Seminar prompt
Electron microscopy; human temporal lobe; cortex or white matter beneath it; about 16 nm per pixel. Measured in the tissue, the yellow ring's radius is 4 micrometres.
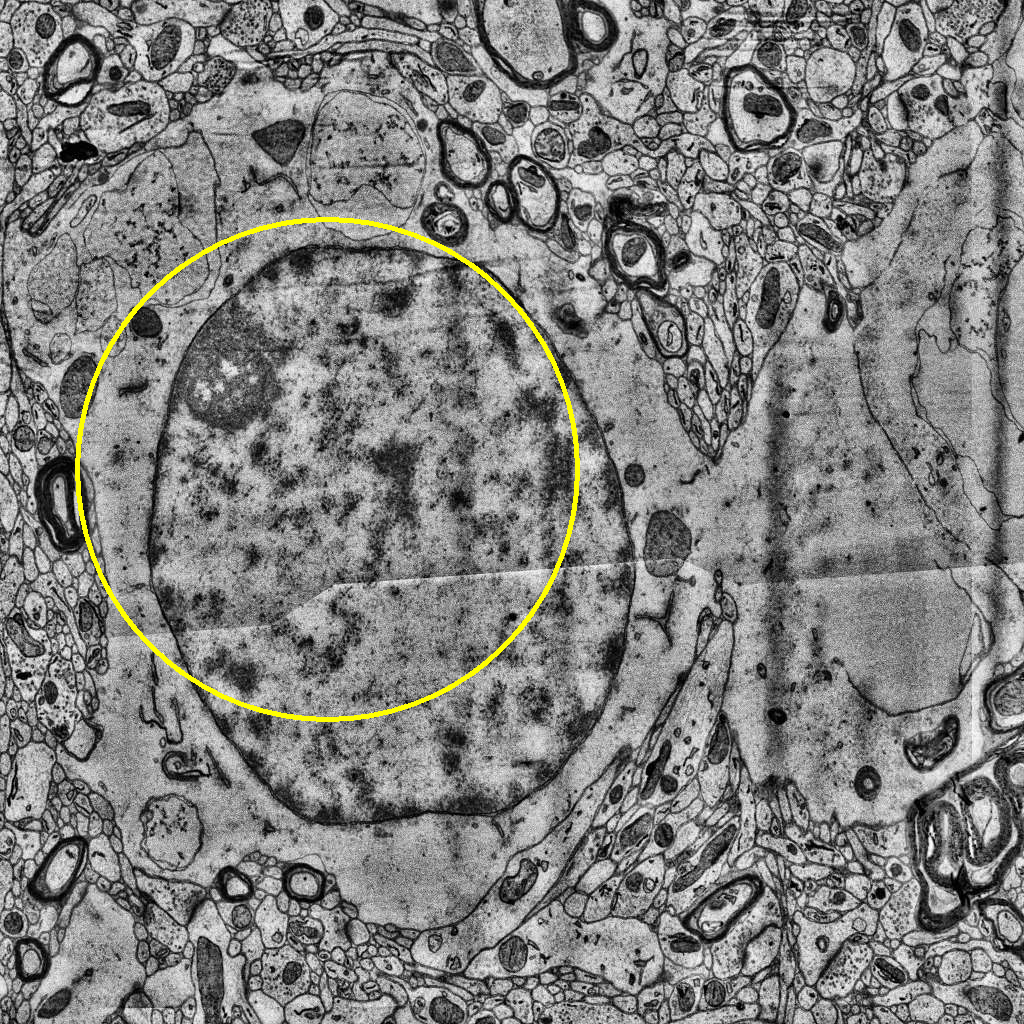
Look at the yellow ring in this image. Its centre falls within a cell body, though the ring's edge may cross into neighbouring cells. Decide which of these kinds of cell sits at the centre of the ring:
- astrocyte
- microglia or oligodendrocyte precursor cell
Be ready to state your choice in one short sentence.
The kind of cell at the ring's centre is an astrocyte.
